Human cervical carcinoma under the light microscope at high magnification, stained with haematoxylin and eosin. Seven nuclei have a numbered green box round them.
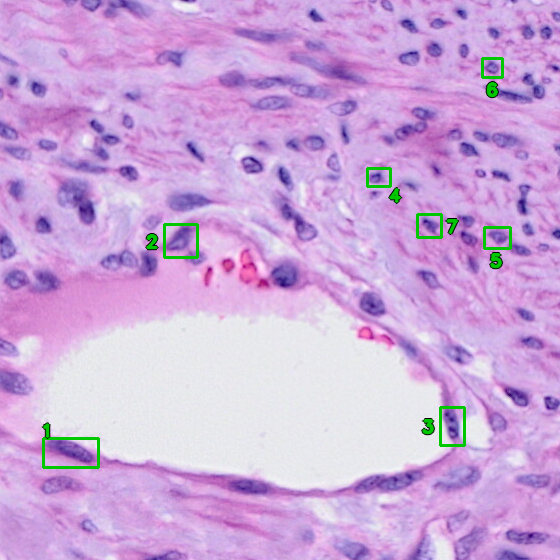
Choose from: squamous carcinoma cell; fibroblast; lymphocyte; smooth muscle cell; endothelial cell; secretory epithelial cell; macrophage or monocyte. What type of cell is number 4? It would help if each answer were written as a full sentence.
The expected answer is that cell 4 is a smooth muscle cell.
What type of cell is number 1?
The correct label for cell 1 is an endothelial cell.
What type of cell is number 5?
The cell referred to as 5 is a smooth muscle cell.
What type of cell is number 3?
In this section, the cell tagged 3 is an endothelial cell.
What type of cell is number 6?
The expected answer is that cell 6 is a smooth muscle cell.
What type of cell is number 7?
The cell tagged with 7 in this tissue section is a smooth muscle cell.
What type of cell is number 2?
That cell with number 2 is an endothelial cell.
